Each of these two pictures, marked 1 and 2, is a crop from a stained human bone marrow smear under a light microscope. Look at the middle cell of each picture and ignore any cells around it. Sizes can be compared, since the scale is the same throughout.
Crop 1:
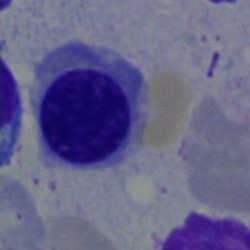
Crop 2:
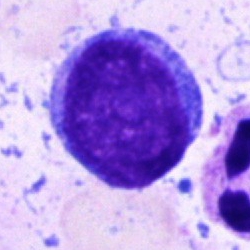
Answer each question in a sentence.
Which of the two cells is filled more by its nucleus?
In crop 2 the nucleus takes up the larger part of its cell.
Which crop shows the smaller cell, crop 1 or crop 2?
Crop 1 holds the smaller cell, since the cell in crop 2 covers about 1.5 times as much area.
